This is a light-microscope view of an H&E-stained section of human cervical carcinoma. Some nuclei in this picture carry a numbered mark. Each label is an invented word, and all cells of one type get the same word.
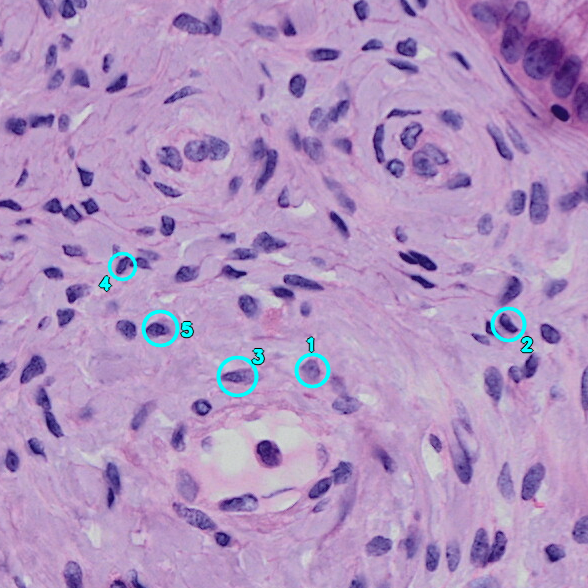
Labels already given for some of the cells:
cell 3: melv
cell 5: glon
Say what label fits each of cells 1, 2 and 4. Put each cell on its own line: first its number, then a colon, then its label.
1: melv
2: glon
4: glon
